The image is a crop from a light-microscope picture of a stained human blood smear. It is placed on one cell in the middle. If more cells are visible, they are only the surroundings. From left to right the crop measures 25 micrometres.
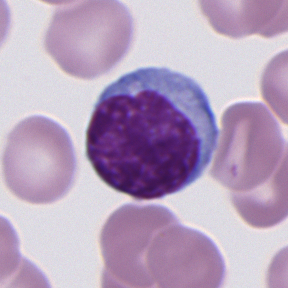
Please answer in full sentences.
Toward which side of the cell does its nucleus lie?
Toward the lower left of the cell lies its nucleus.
